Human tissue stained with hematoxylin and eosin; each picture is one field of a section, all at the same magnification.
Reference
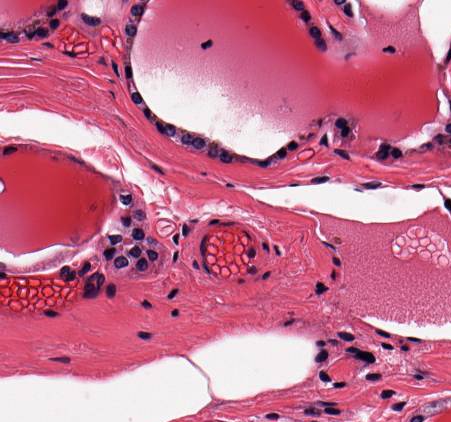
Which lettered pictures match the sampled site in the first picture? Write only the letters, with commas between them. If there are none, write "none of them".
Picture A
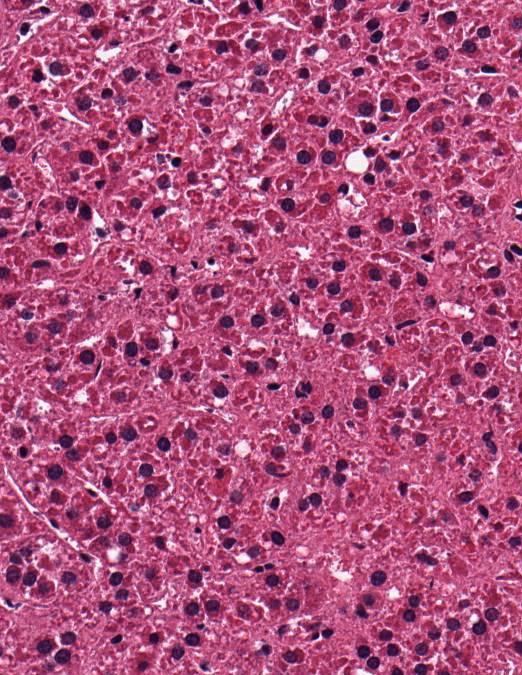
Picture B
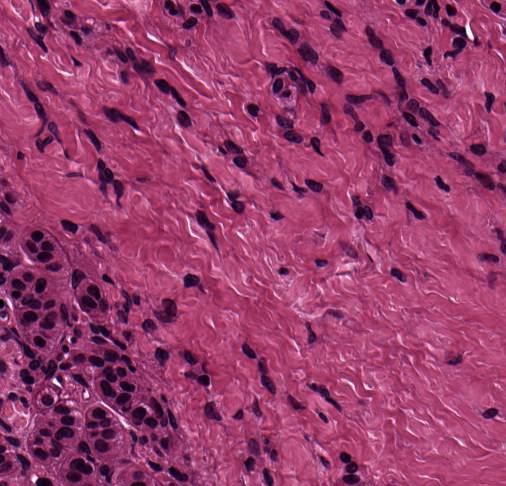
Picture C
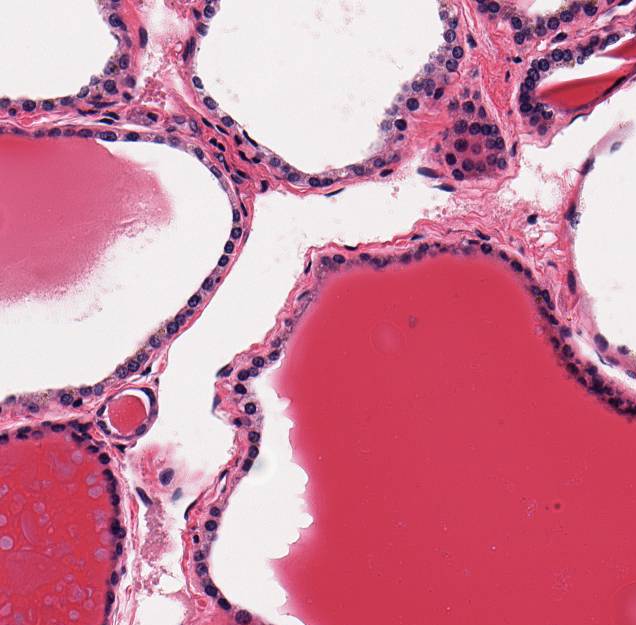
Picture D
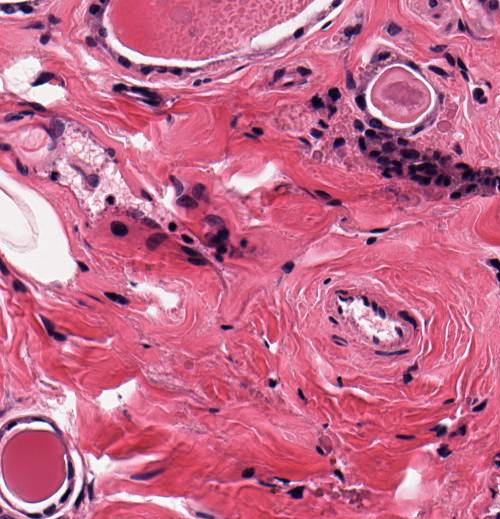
C, D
